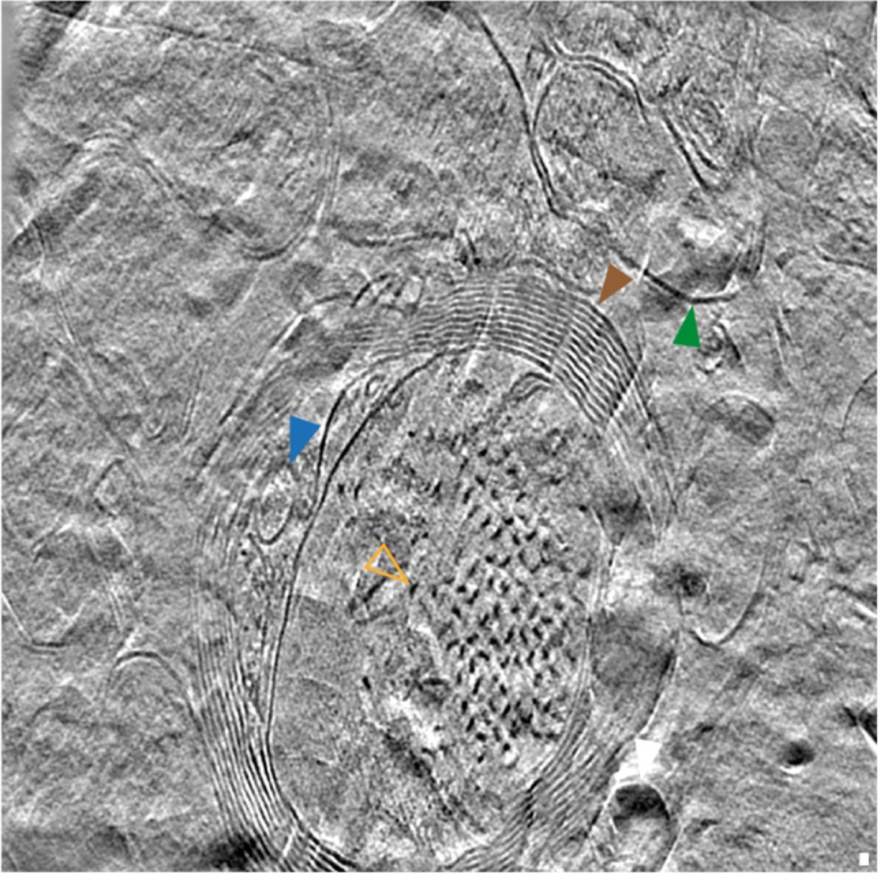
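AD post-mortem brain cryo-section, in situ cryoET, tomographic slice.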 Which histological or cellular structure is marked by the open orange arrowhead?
filament oriented axially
